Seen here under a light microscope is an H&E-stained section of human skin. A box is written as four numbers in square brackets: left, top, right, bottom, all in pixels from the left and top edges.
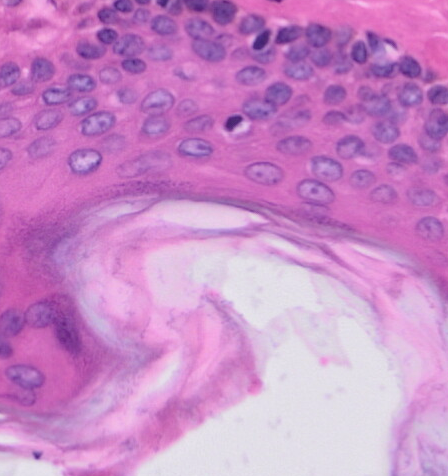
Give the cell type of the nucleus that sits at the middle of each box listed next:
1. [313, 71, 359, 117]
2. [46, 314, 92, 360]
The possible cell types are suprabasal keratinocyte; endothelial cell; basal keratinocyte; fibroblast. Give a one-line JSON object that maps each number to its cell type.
{"1": "basal keratinocyte", "2": "suprabasal keratinocyte"}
